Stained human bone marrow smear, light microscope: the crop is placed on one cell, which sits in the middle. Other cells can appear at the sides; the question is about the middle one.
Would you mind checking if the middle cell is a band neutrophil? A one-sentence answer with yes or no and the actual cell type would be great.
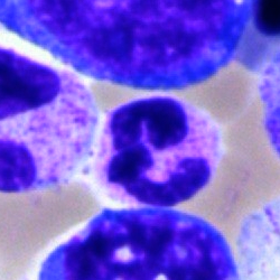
No, that would be a segmented neutrophil, not a band neutrophil, for the cell at the centre.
